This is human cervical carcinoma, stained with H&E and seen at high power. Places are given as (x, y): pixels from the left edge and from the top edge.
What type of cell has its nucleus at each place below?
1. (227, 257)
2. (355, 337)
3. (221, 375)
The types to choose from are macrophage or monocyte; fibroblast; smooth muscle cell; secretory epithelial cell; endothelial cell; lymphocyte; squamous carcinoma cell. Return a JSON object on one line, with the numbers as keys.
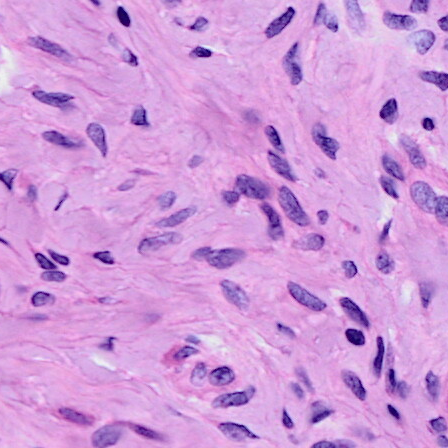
{"1": "fibroblast", "2": "lymphocyte", "3": "endothelial cell"}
